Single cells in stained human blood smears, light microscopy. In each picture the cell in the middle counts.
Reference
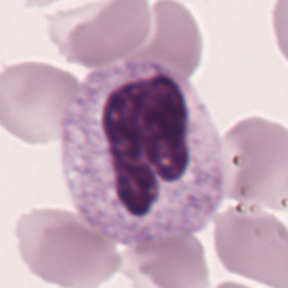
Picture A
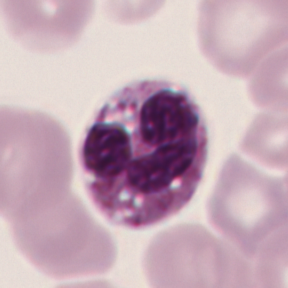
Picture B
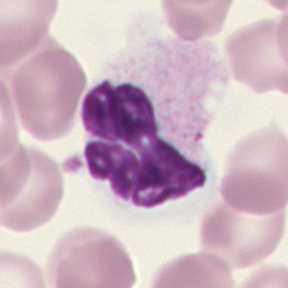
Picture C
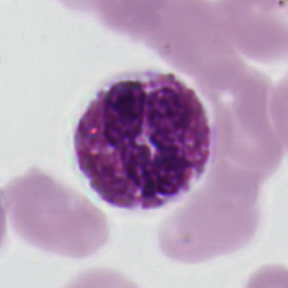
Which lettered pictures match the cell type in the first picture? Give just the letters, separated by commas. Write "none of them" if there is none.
B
